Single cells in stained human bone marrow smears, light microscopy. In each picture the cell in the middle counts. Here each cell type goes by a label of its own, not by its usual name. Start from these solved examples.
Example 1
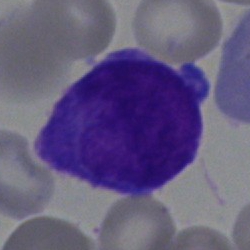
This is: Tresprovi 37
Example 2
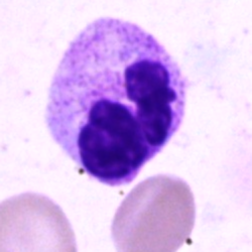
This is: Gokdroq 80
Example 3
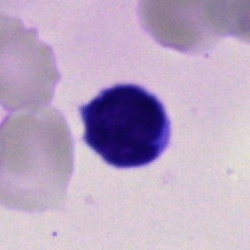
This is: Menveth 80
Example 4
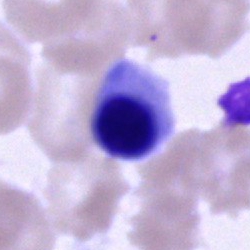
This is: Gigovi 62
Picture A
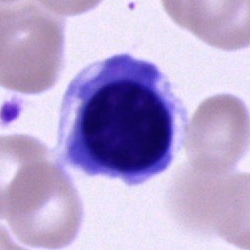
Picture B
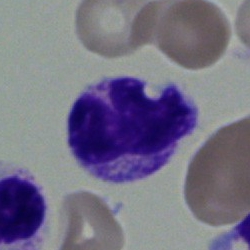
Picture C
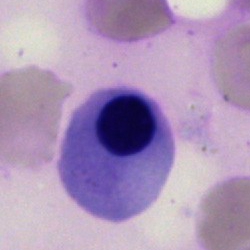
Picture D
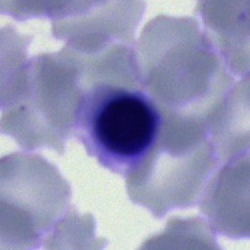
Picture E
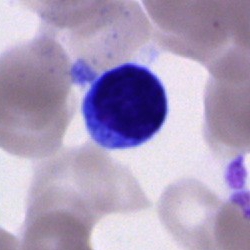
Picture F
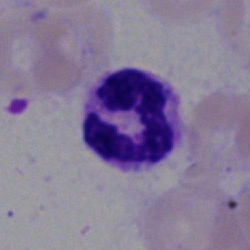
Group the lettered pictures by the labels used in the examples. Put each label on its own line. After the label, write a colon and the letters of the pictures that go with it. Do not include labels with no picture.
Gokdroq 80: B, F
Menveth 80: E
Gigovi 62: A, C, D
